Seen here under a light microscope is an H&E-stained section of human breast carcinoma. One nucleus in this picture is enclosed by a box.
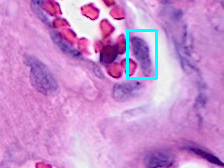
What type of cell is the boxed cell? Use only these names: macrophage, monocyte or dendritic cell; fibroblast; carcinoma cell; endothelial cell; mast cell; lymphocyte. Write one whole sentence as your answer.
This is an endothelial cell.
